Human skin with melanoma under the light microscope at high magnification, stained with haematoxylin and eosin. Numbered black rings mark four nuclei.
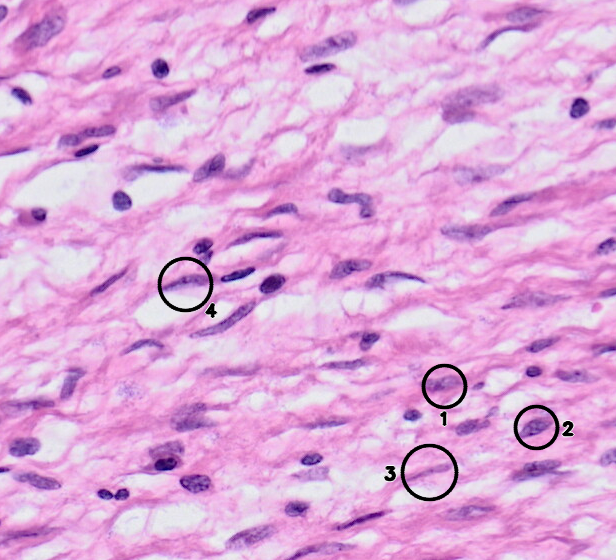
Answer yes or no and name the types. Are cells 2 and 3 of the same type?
No, cell 2 is interpreted as a macrophage or monocyte, and cell 3 is interpreted as a fibroblast or myofibroblast.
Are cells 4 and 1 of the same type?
Yes, both of the numbered cells concerned, 4 and 1, are fibroblasts or myofibroblasts.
